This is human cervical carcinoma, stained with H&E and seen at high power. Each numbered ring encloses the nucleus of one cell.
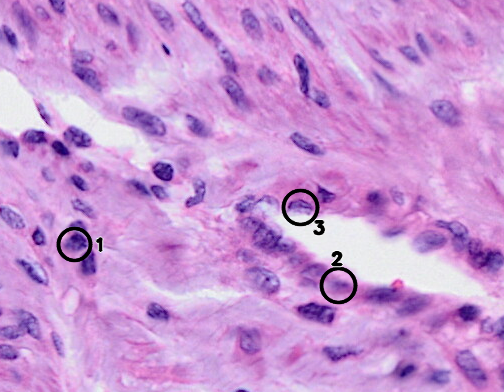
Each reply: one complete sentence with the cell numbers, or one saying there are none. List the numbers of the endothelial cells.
The cells marked with the numbers 2 and 3 are endothelial cells.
